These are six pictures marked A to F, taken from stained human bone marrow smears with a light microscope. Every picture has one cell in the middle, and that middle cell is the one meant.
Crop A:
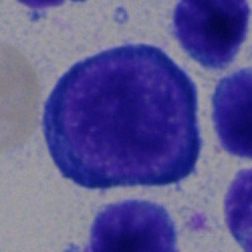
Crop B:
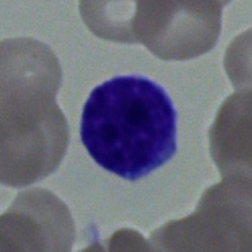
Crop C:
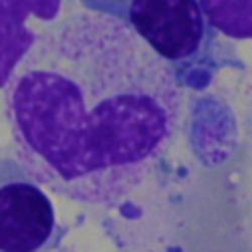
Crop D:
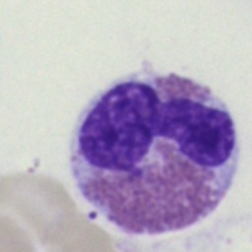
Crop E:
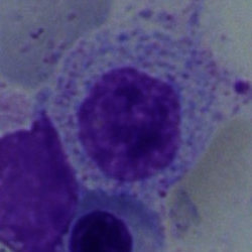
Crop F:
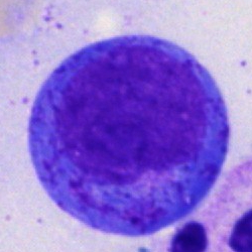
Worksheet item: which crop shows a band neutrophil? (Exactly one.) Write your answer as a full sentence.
Among all the crops given here, the one with a band neutrophil is crop C.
